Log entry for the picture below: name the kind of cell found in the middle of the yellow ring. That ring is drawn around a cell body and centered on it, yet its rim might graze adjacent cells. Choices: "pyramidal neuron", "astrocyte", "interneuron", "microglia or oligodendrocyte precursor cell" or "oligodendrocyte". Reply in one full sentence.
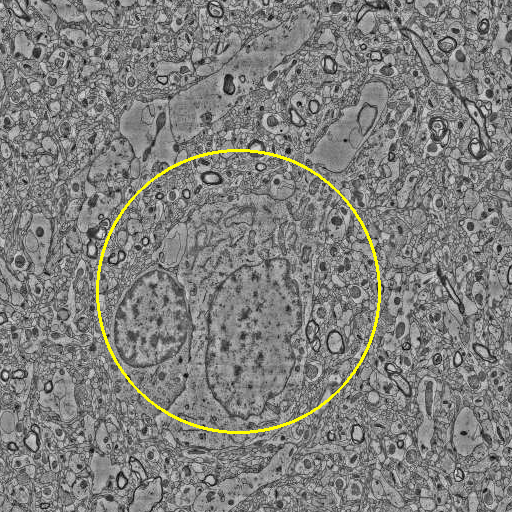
The cell in the middle of the yellow ring in this picture is an interneuron.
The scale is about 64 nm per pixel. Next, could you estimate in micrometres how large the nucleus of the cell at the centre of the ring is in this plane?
About 11 by 7 micrometres in this plane; clearly longer than it is wide.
